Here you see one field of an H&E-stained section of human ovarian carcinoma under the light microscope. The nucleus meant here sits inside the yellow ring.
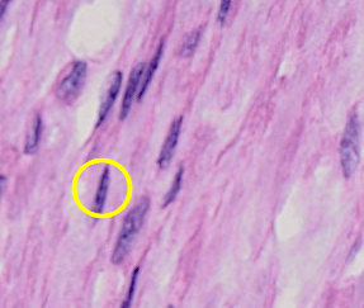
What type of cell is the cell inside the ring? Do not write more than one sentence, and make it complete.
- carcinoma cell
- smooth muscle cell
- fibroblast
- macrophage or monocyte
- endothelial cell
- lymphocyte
As a matter of cell type, the cell inside the ring is a fibroblast.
